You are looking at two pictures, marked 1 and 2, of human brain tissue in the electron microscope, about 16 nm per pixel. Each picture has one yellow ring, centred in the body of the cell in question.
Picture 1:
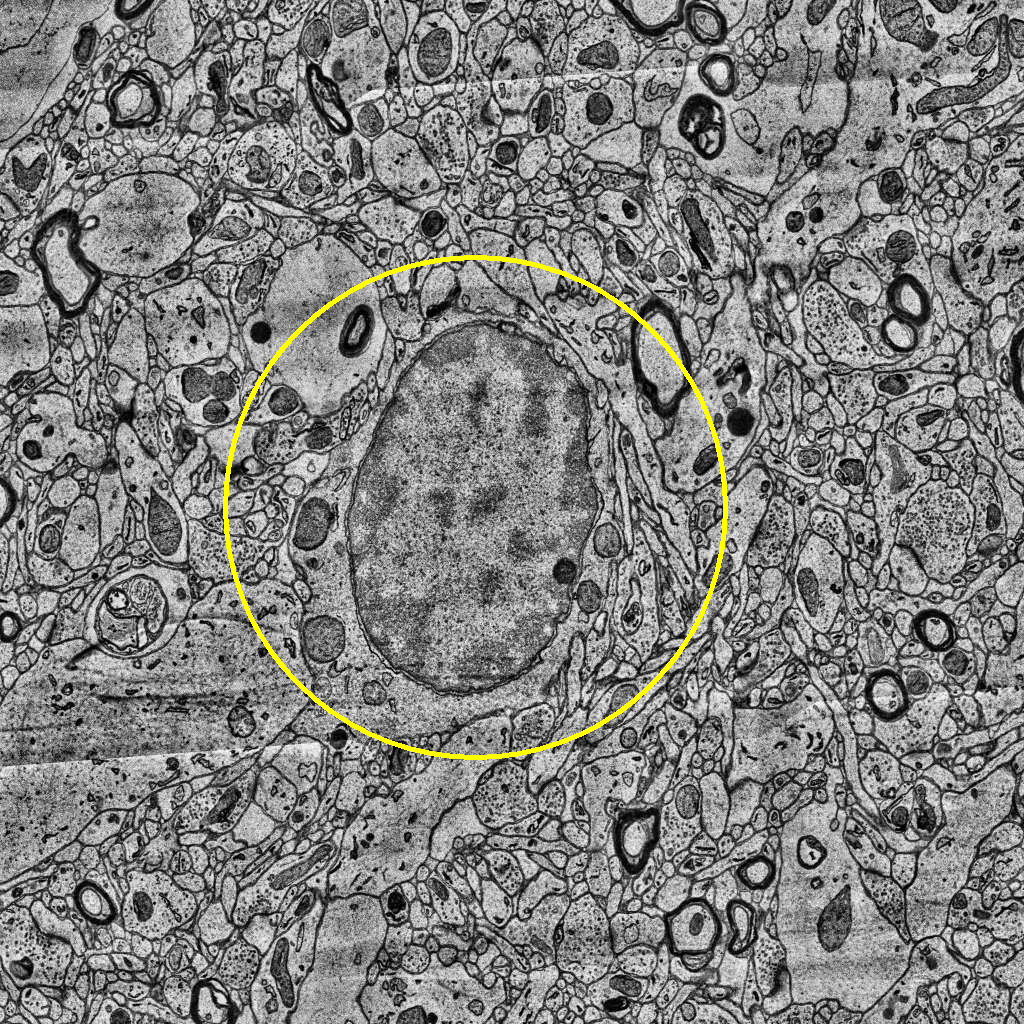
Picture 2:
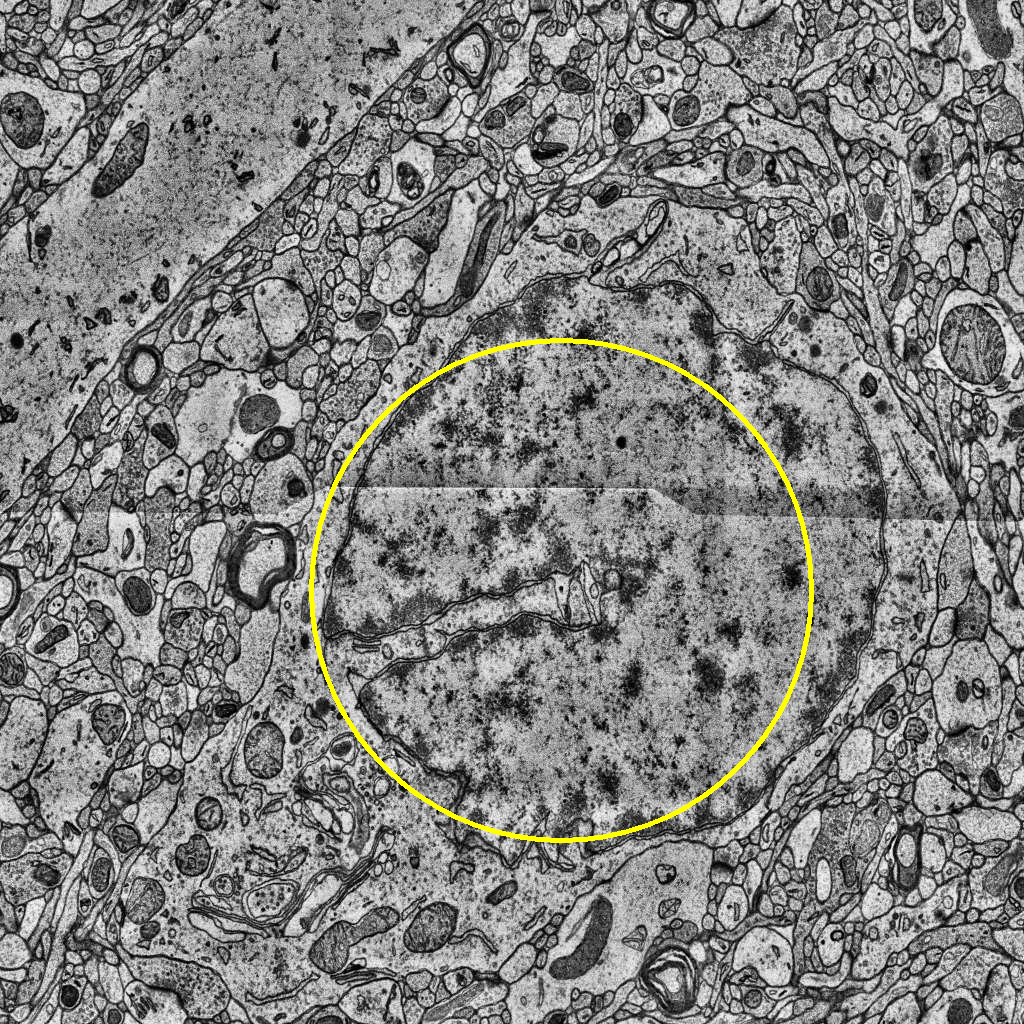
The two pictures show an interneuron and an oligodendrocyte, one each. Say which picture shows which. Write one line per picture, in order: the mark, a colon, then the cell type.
1: oligodendrocyte
2: interneuron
